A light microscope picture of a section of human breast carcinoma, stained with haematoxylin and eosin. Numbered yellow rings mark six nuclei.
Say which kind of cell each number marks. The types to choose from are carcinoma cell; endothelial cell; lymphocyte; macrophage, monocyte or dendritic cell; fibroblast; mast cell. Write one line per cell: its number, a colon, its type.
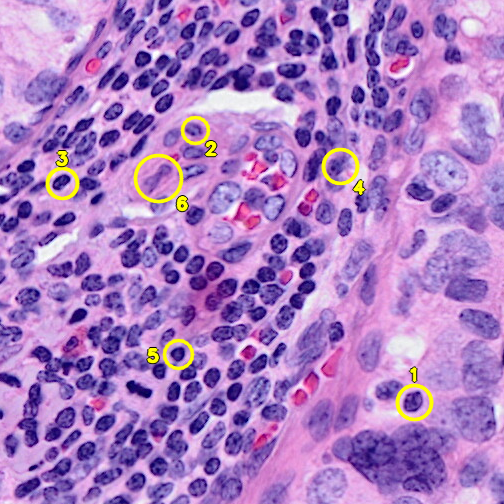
1: lymphocyte
2: endothelial cell
3: lymphocyte
4: lymphocyte
5: lymphocyte
6: endothelial cell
